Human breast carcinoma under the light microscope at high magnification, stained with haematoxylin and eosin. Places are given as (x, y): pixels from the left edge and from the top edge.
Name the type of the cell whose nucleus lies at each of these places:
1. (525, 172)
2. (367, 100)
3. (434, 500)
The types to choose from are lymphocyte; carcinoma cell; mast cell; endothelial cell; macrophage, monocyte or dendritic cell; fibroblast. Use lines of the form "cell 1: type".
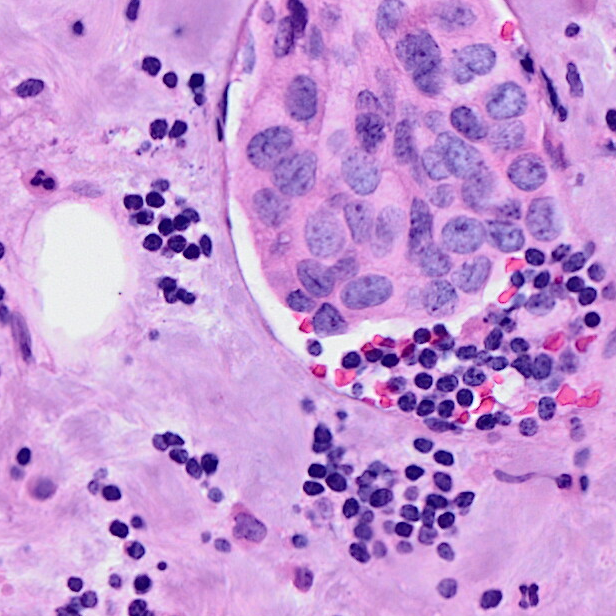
cell 1: carcinoma cell
cell 2: carcinoma cell
cell 3: lymphocyte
